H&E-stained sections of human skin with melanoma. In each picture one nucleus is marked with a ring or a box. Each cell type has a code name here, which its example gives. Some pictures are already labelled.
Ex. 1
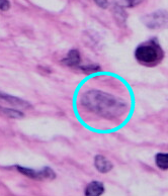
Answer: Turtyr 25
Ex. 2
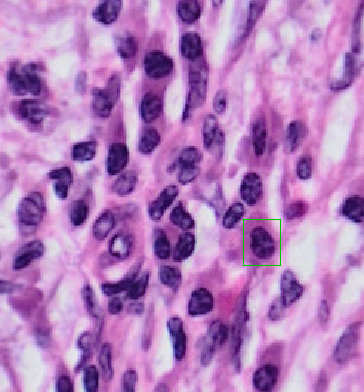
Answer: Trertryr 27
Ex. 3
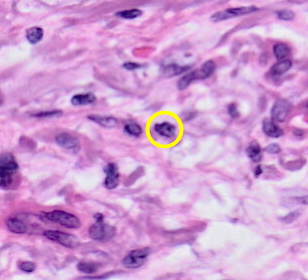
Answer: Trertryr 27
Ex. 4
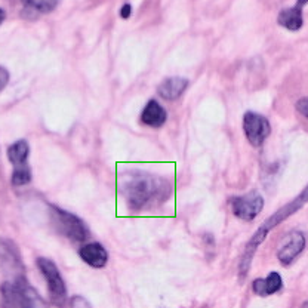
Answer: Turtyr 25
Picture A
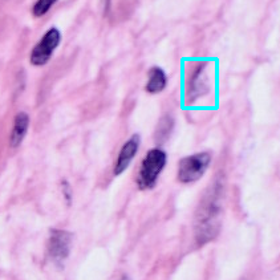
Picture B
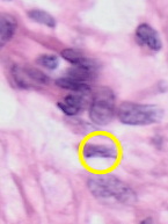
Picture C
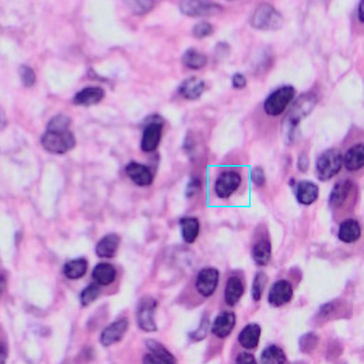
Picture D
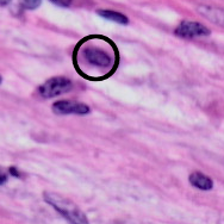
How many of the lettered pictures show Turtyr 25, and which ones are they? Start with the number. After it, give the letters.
Count: 2 (A, B)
